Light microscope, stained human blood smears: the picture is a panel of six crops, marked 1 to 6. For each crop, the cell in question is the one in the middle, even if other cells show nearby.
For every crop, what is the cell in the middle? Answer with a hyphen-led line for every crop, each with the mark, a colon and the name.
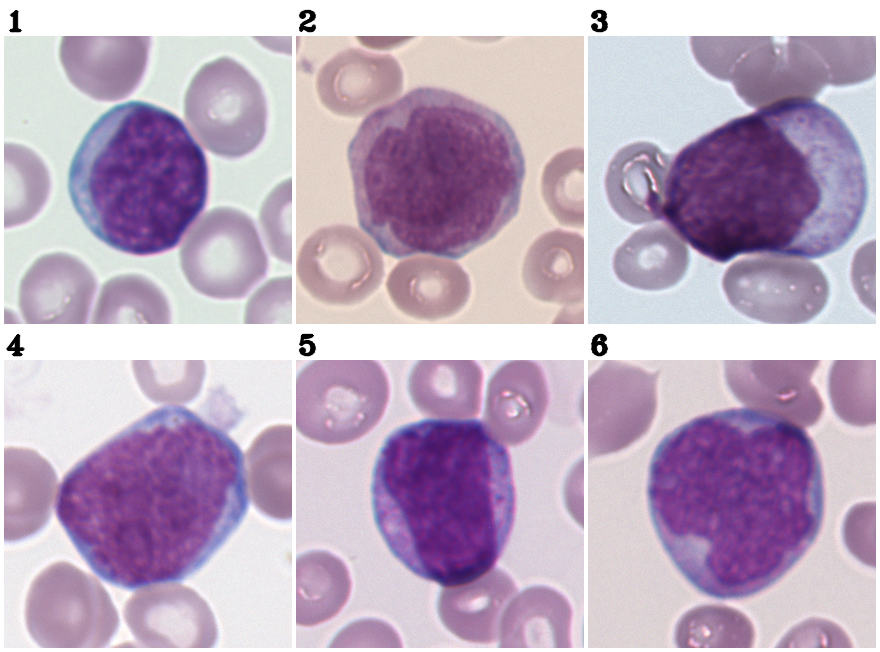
- 1: typical lymphocyte
- 2: atypical promyelocyte
- 3: atypical promyelocyte
- 4: myeloblast
- 5: atypical promyelocyte
- 6: atypical promyelocyte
